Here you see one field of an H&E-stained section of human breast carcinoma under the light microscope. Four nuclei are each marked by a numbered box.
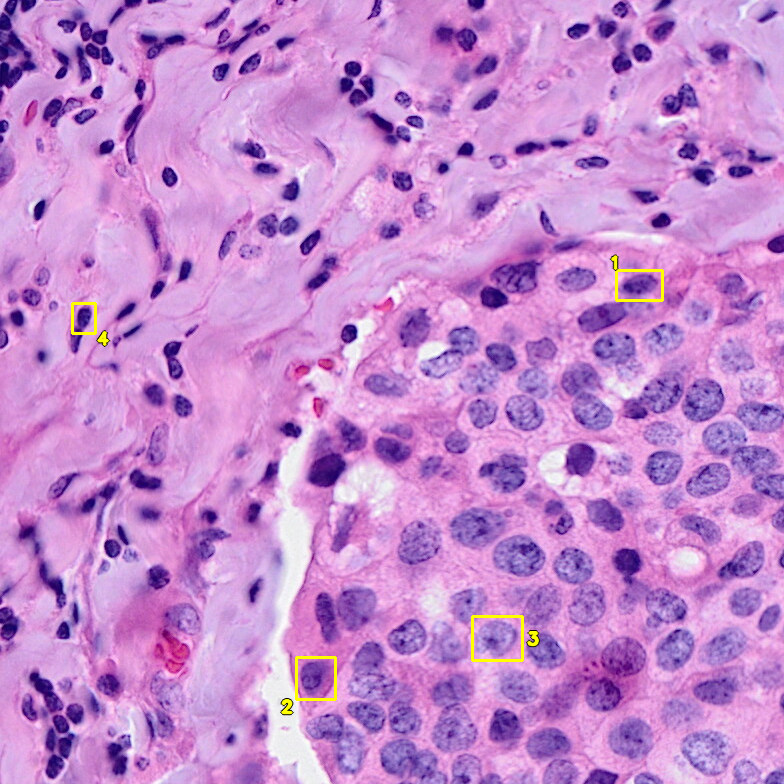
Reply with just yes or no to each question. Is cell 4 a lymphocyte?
yes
